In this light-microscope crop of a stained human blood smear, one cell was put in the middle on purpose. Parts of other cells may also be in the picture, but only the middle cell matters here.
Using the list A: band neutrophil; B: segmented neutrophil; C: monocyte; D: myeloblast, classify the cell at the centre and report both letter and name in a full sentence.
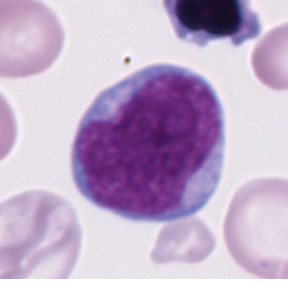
Here the right option is D, as the cell in the middle is a myeloblast.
